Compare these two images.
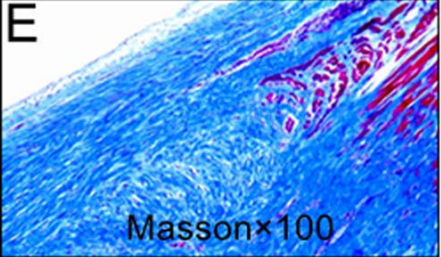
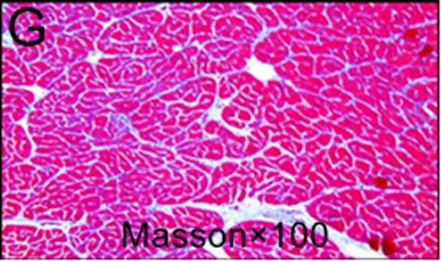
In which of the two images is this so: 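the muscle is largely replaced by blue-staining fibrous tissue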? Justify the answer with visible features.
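The first image. Second image: red muscle fibres fill the field with only thin blue strands between them. First image: blue fibrous tissue fills most of the field, with only a few red fibres at the upper right.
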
